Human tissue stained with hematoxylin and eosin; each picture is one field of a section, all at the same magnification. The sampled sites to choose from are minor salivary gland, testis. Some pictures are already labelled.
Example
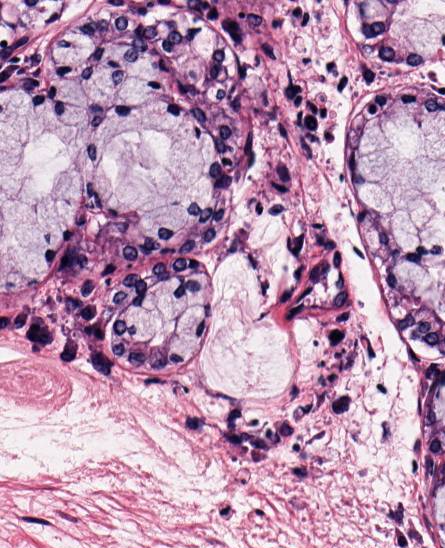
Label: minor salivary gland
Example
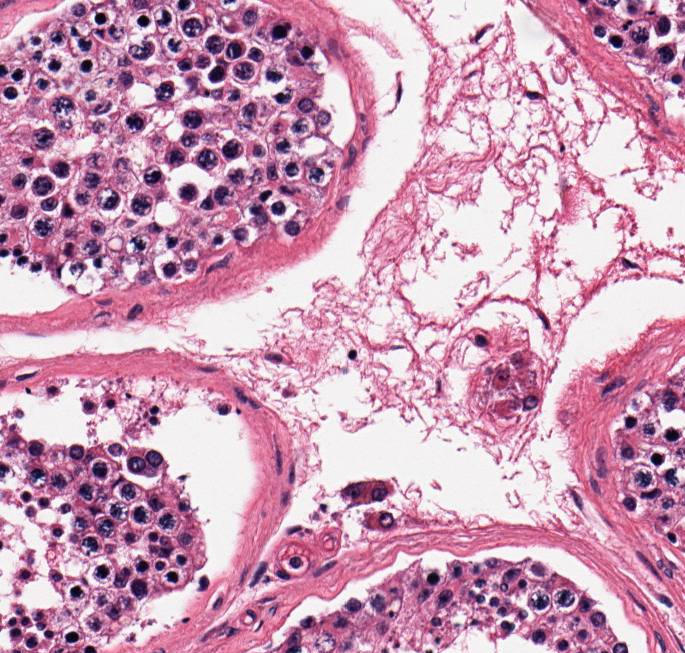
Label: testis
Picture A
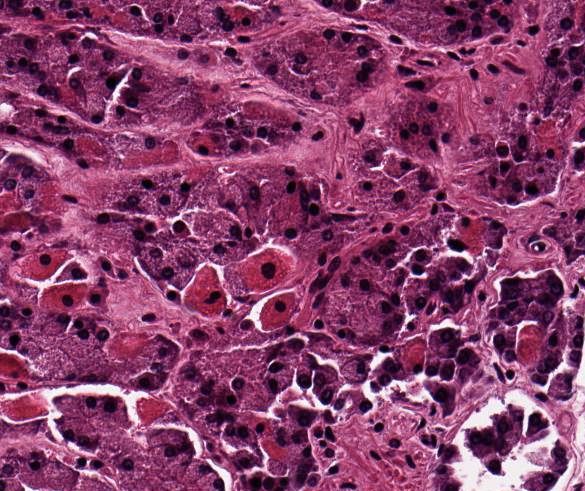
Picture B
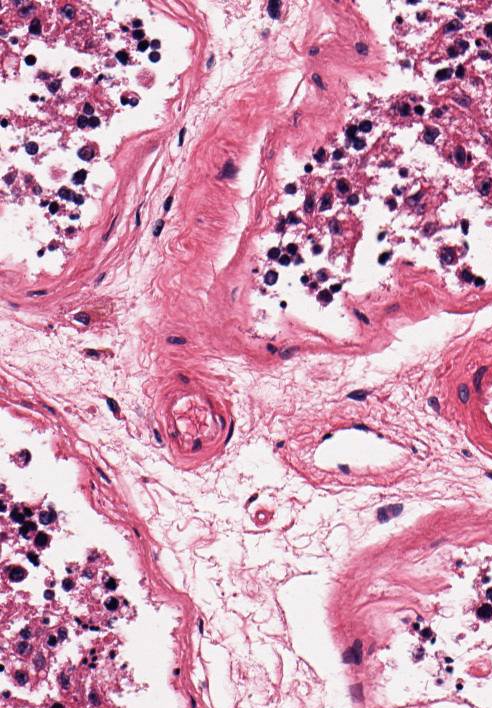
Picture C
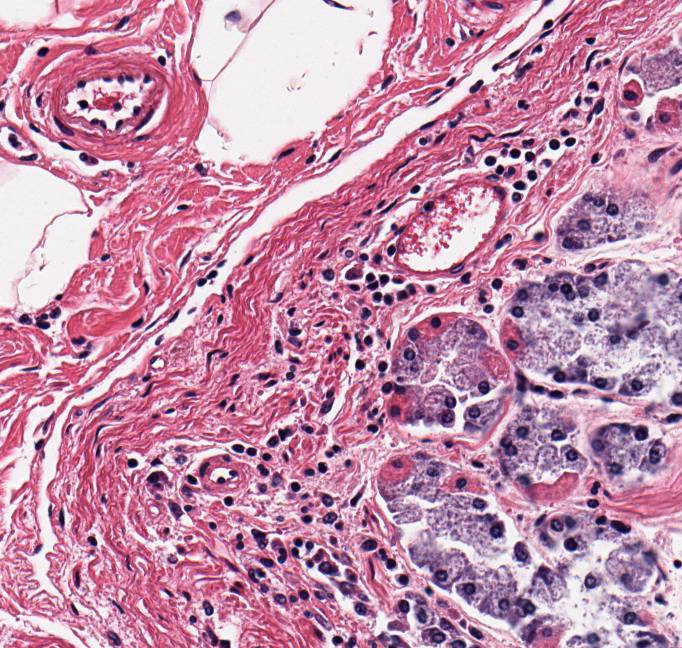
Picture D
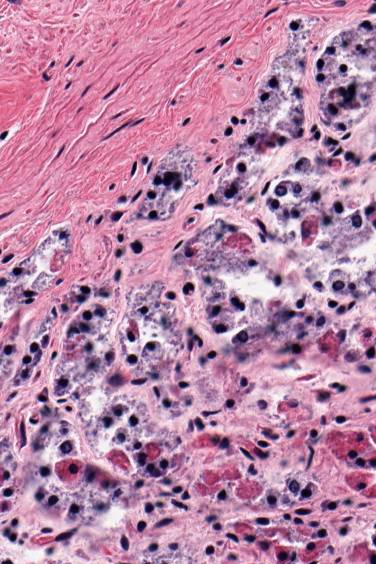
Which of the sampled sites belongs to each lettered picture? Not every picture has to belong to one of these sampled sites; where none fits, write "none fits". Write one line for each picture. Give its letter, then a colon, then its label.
A: none fits
B: testis
C: none fits
D: none fits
